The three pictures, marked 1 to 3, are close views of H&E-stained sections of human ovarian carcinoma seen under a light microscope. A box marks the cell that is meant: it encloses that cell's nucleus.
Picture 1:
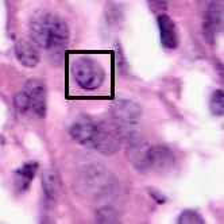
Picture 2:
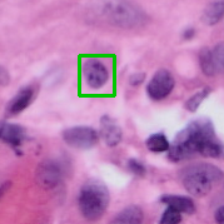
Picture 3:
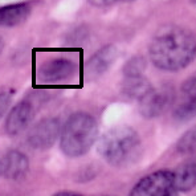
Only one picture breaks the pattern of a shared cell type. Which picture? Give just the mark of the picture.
3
